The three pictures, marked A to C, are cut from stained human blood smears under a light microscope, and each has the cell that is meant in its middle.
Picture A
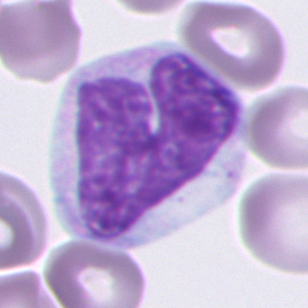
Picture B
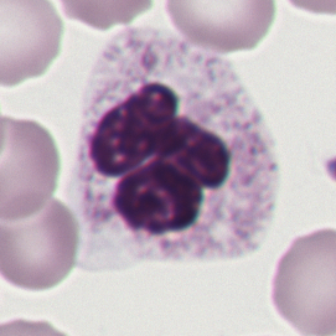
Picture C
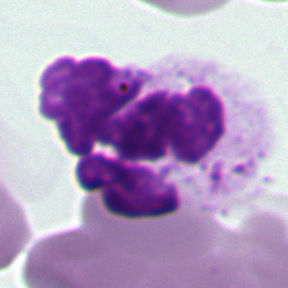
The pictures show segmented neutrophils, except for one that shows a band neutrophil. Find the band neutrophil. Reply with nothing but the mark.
A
